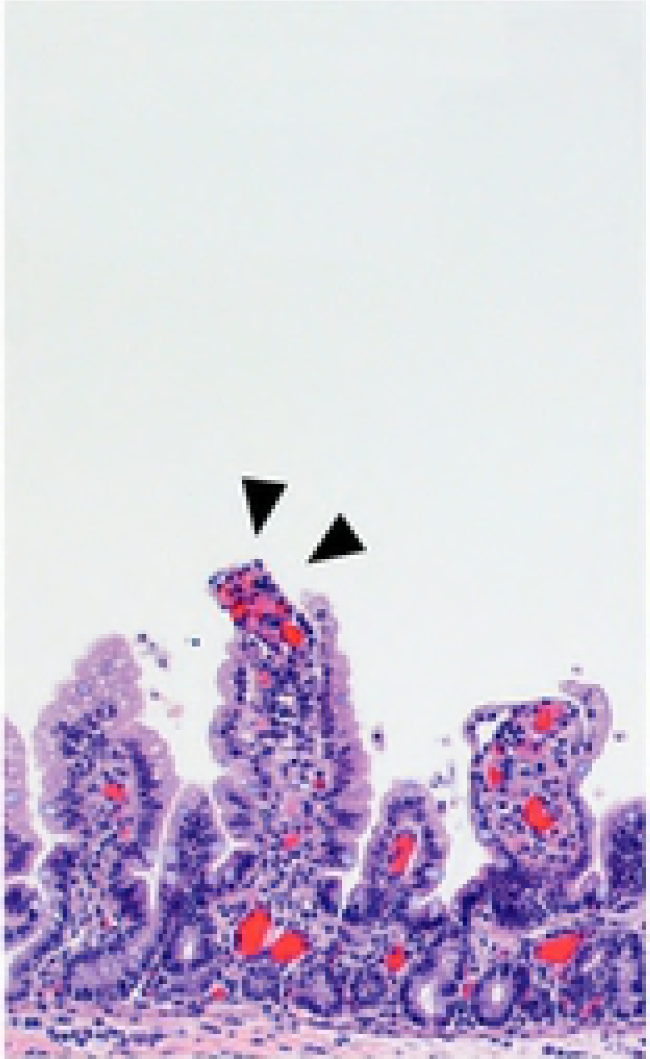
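This is intestinal mucosa with villi standing above crypts, and the epithelium at the villus tips is missing. One villus rises with its tip bare, where tightly packed red blood cells and stromal cells lie exposed without an epithelial covering. Along the sides of the villi the tall columnar epithelium with purple nuclei and pale cytoplasm is still present. Other villi are short and stubby, and bright red vessels filled with blood are seen in their cores and in the tissue between the crypts. At the base, round crypts lined by darker cells sit above the deeper connective tissue.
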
